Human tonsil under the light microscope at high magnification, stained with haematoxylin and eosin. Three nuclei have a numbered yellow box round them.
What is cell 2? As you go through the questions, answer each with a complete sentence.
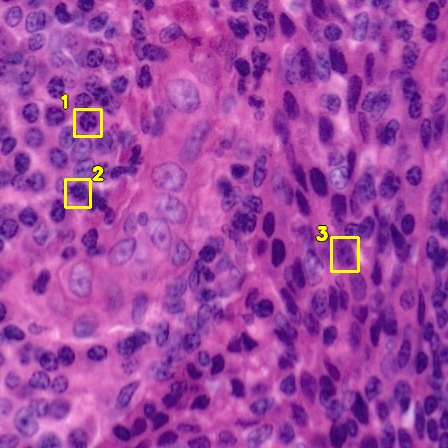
Within this field of view, the cell labelled 2 is a plasma cell.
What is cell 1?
Cell 1, as marked in the section, is a plasma cell.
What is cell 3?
The mark numbered 3 indicates the nucleus of a squamous epithelial cell.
